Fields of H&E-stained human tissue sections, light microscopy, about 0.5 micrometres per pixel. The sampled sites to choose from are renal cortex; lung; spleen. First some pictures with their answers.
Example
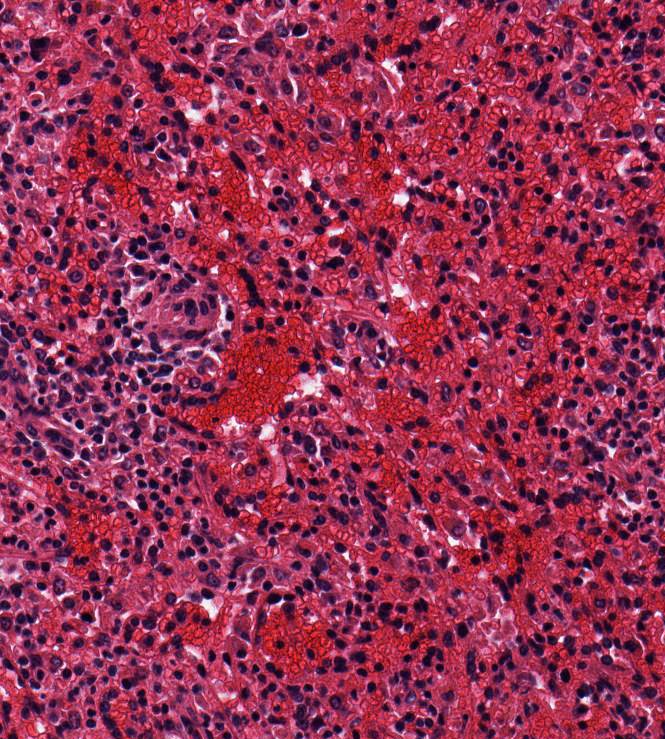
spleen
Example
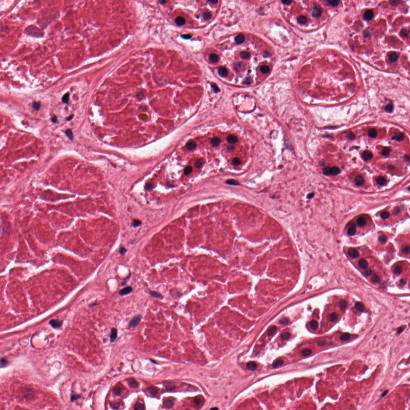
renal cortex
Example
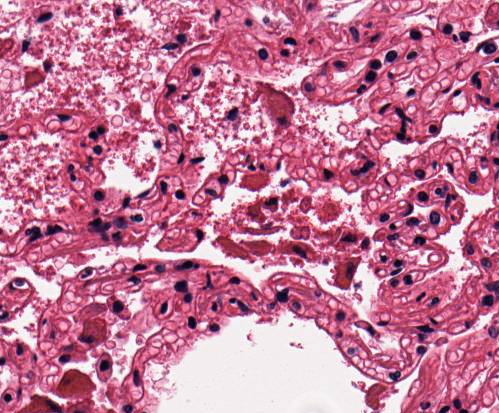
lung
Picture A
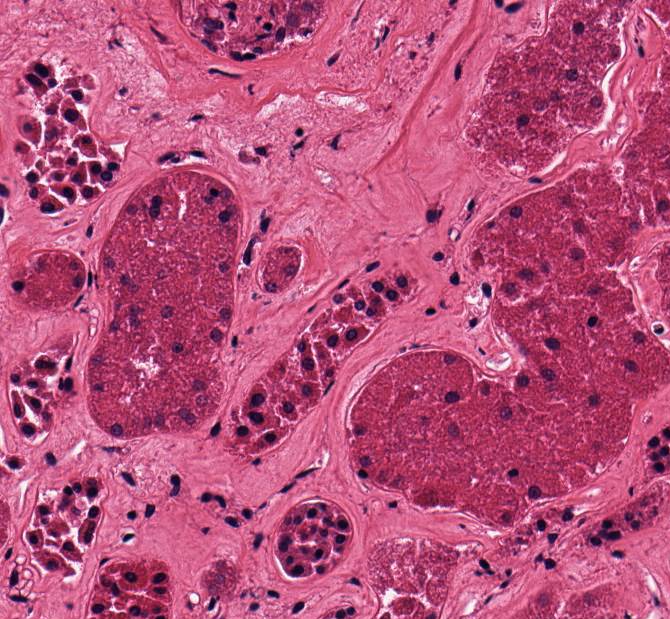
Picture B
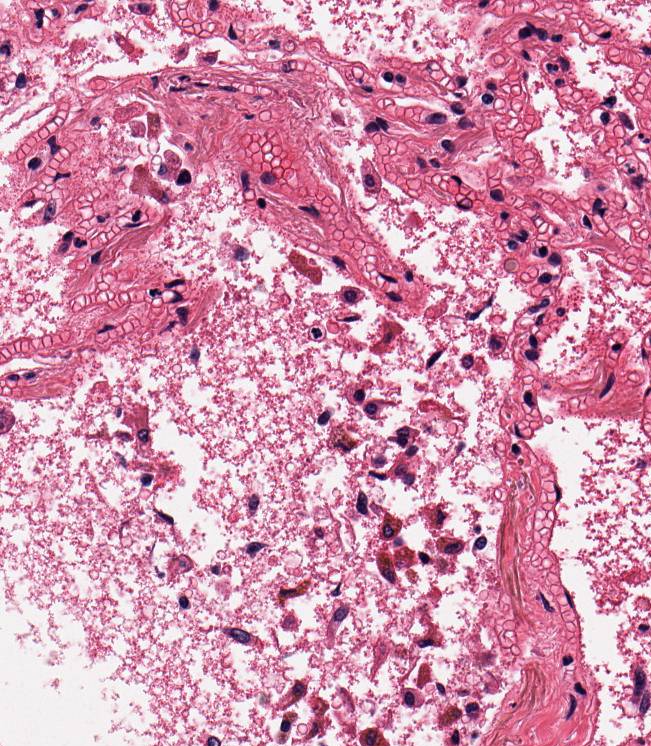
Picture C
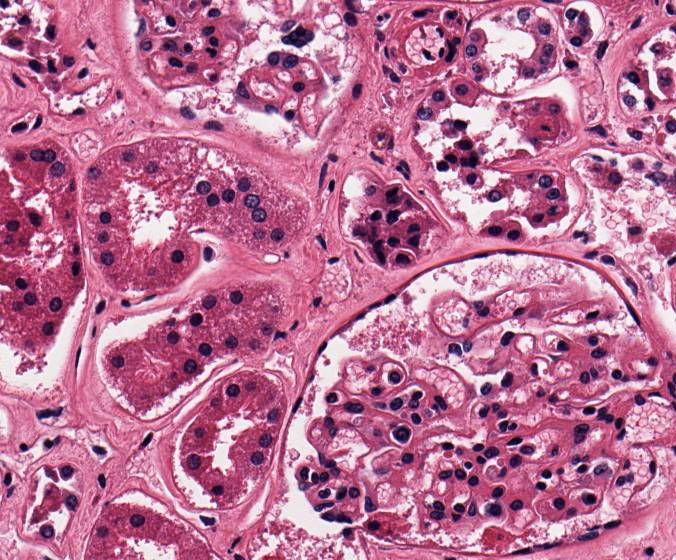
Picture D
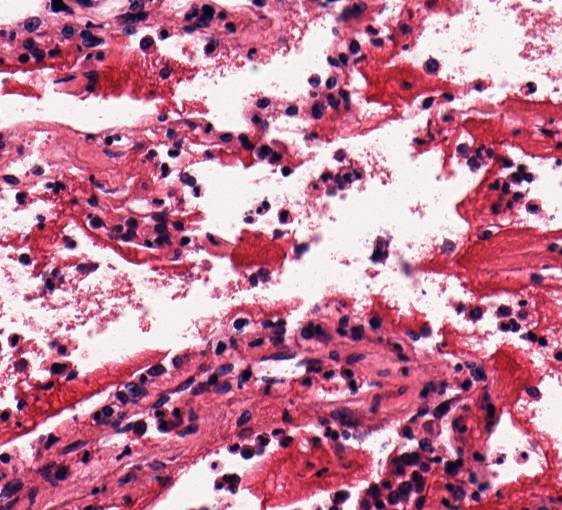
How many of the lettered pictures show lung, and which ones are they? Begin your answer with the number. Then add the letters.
Count: 2 (B, D)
